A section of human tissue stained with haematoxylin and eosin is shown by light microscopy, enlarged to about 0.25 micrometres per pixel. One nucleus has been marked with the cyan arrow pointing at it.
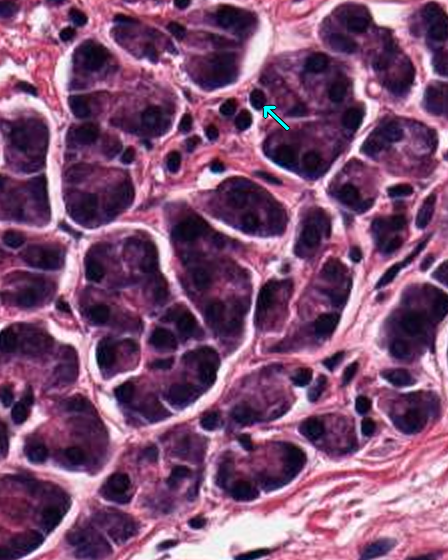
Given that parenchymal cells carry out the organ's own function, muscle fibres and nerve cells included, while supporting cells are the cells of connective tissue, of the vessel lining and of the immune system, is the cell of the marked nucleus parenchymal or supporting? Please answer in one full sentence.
The cell that the marked nucleus belongs to is a supporting cell.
